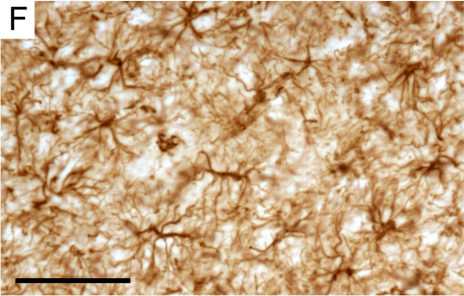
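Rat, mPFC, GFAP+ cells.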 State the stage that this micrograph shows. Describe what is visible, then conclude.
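Activated. Star-shaped brown cells have thick, densely stained processes. The processes form a dense interwoven meshwork filling the field. Stained cells lie close together.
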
